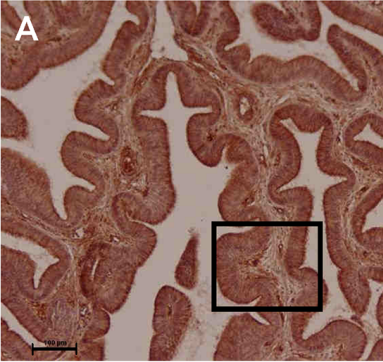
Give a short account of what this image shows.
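This is the folded mucosa of the oviduct, with many branching folds lined by epithelial cells and projecting into a clear lumen. Thin cores of connective tissue with small vessels run up the middle of each fold. Brown staining fills the epithelium and extends into the connective tissue cores and deeper wall.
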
